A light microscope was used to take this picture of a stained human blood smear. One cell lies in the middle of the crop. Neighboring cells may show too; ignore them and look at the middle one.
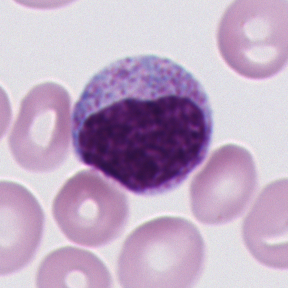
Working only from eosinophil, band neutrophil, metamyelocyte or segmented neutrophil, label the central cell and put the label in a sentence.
By type, the central cell of the crop is a metamyelocyte.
